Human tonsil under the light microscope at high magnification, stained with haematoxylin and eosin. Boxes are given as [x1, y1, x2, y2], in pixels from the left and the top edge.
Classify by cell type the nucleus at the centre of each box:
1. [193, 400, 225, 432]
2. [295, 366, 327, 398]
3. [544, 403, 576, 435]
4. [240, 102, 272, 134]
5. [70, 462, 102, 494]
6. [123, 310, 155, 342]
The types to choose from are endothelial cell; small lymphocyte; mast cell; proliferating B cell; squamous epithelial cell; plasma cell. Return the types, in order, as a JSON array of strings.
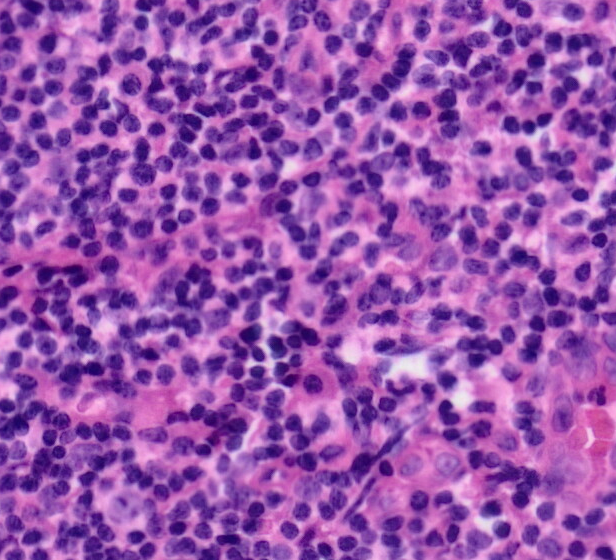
["small lymphocyte", "plasma cell", "endothelial cell", "small lymphocyte", "small lymphocyte", "small lymphocyte"]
